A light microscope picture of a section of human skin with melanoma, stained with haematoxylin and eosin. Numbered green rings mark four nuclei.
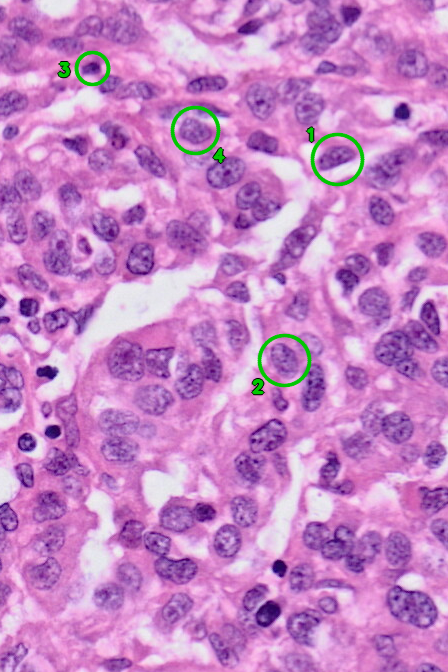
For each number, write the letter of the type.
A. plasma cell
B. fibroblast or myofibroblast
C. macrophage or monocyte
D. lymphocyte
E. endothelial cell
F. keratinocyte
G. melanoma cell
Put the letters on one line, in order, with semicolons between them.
G; G; D; G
